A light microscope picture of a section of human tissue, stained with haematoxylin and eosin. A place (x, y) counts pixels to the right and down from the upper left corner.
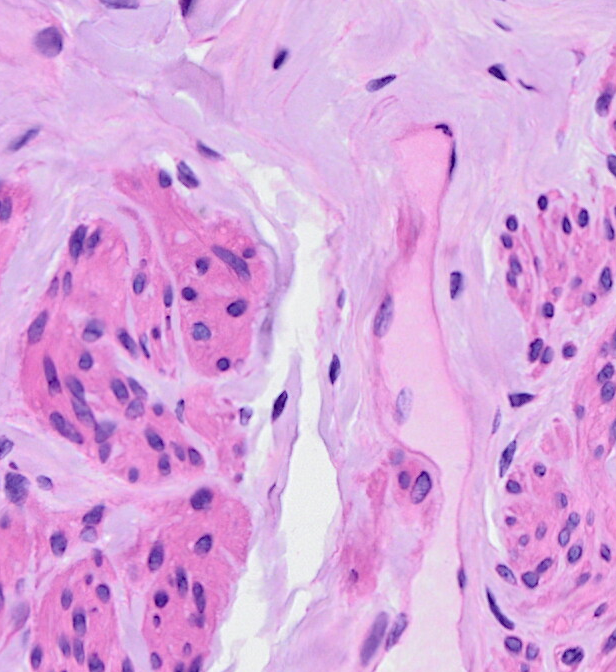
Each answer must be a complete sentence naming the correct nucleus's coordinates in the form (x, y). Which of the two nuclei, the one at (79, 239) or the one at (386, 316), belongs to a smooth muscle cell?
The nucleus of a smooth muscle cell is the one at (79, 239).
